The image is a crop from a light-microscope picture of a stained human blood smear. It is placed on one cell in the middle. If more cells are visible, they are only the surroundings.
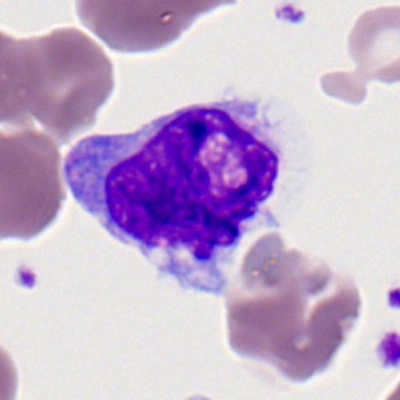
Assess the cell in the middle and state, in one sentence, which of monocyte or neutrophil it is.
The central cell, amid any neighbouring cells, is a monocyte.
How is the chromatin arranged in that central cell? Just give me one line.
Its nuclear chromatin is gathered into coarse clumps.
